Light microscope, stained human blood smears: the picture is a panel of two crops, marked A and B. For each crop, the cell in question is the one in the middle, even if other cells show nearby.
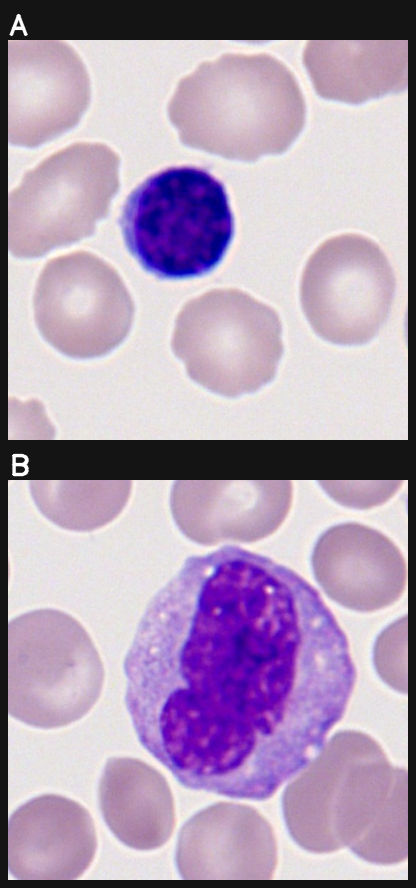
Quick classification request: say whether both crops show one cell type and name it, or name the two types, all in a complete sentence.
No, the cell of interest in crop A is a lymphocyte, and in crop B it is a monocyte.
